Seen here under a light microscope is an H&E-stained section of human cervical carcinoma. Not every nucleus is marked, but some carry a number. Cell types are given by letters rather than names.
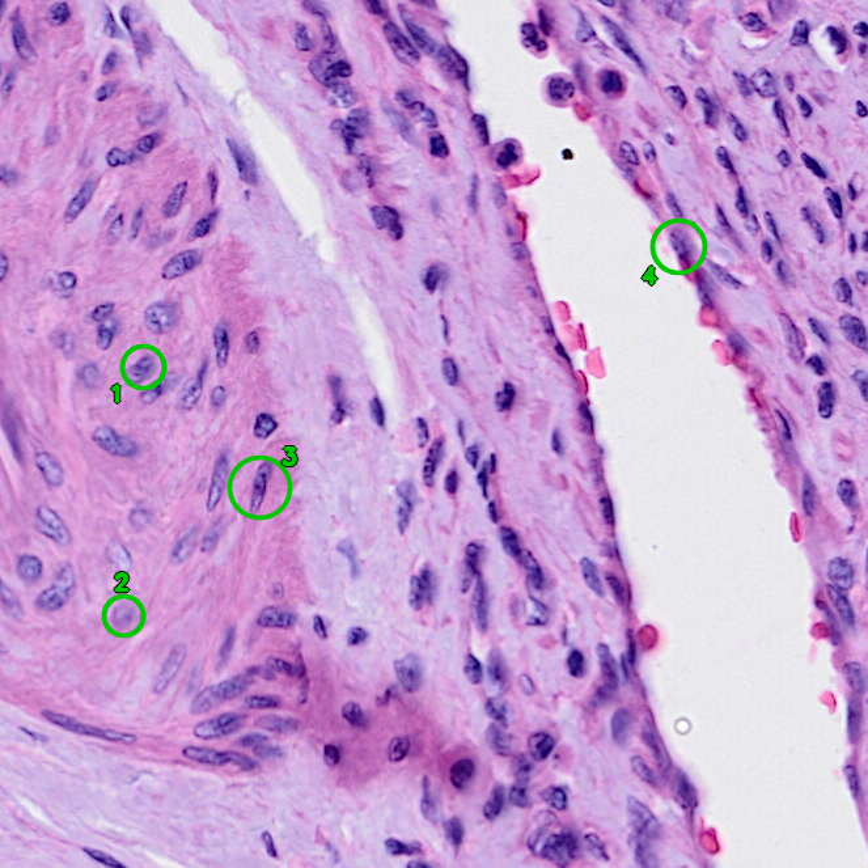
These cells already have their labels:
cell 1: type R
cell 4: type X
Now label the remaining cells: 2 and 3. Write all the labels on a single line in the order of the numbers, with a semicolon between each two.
type R; type R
